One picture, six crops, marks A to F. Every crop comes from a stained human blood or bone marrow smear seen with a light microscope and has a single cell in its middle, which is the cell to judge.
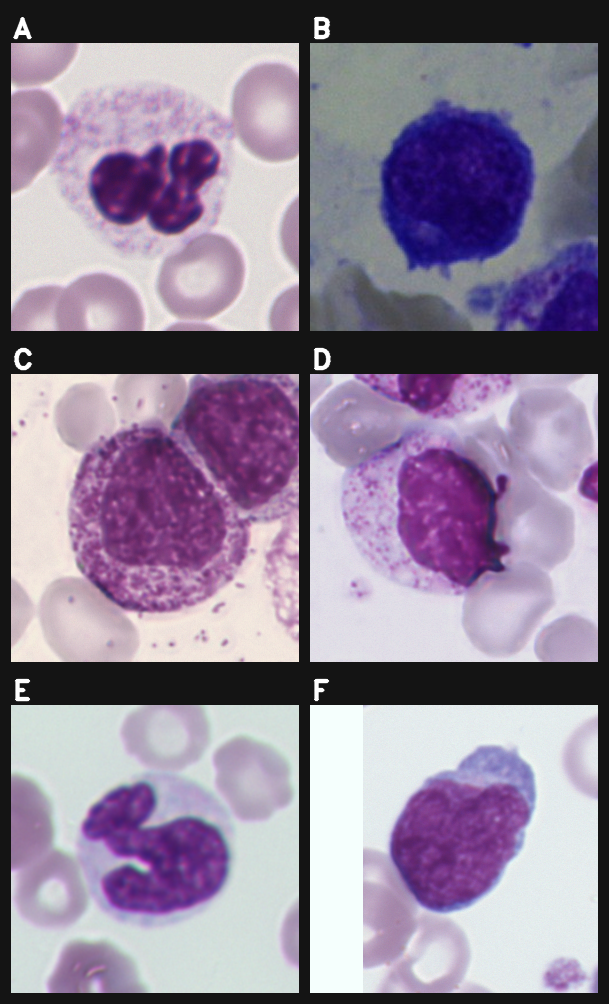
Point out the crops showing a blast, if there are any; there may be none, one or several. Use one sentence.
Classified as blasts are the central cells of crops B and F.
